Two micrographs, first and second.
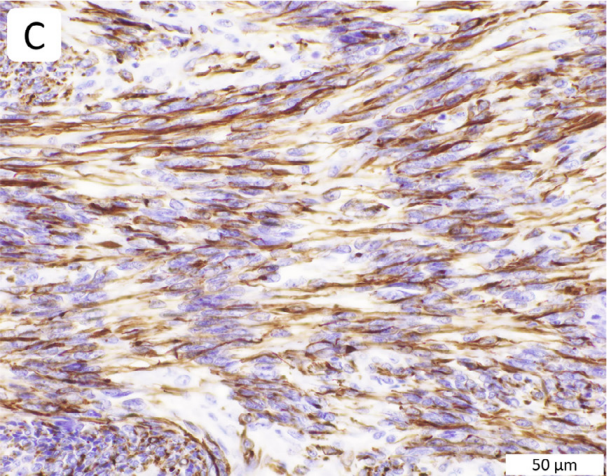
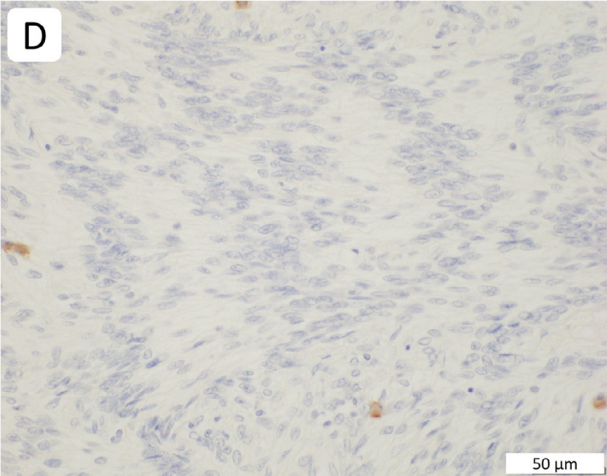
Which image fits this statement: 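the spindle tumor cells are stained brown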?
the first image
